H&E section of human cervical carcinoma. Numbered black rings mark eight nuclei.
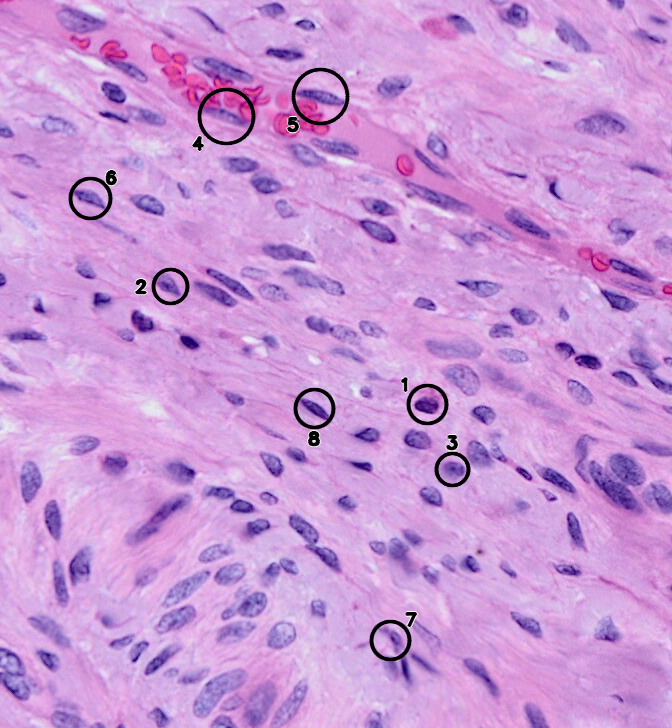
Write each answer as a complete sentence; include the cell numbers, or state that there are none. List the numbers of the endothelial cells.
The cells whose numbers are 4 and 5 are endothelial cells.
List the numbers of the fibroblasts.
The cells picked out by numbers 2, 3, 6, 7 and 8 are fibroblasts.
